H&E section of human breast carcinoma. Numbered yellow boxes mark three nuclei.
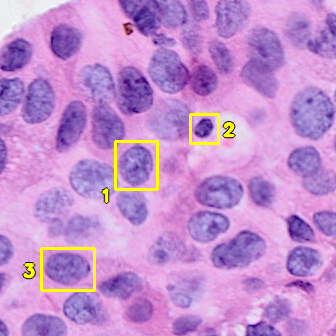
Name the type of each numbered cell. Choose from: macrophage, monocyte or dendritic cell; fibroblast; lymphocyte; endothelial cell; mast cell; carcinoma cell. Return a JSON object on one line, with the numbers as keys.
{"1": "carcinoma cell", "2": "lymphocyte", "3": "carcinoma cell"}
